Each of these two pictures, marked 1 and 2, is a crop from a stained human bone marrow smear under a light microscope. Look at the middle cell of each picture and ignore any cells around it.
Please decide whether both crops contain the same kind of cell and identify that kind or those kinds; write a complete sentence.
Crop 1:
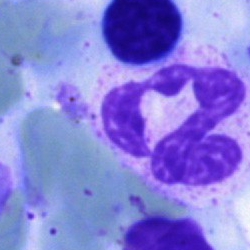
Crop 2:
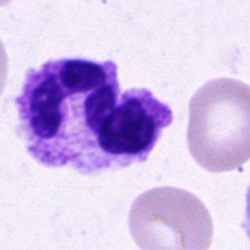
Yes, the cells of interest in both crops are segmented neutrophils.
